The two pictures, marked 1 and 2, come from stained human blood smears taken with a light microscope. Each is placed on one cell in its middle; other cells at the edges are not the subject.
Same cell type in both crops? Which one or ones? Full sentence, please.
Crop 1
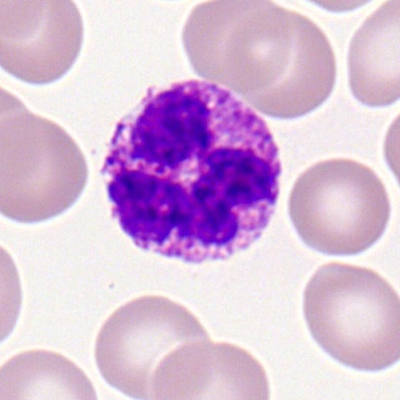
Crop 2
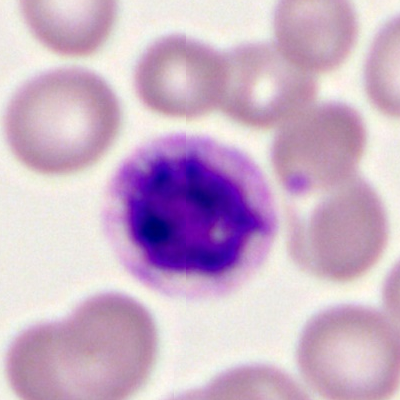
Yes, both of the crops show basophils.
